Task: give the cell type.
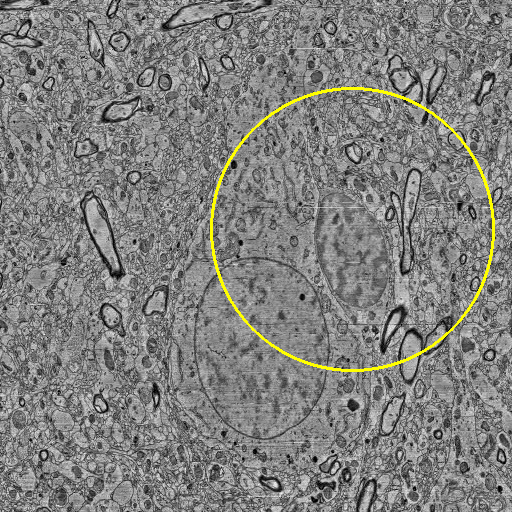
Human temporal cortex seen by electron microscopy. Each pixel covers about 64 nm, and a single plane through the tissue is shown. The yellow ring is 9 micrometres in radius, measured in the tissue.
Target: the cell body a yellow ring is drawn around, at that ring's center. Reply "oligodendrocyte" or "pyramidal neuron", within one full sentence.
In this picture, the cell whose body lies at the ring's center is an oligodendrocyte.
